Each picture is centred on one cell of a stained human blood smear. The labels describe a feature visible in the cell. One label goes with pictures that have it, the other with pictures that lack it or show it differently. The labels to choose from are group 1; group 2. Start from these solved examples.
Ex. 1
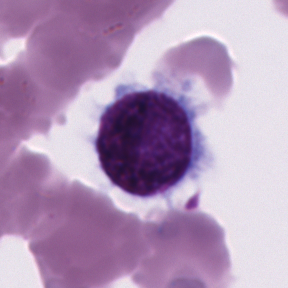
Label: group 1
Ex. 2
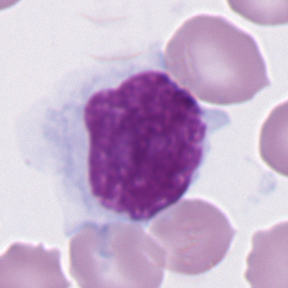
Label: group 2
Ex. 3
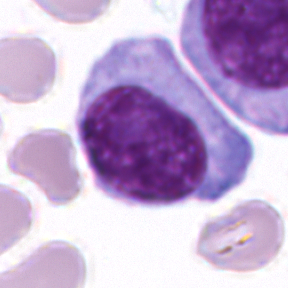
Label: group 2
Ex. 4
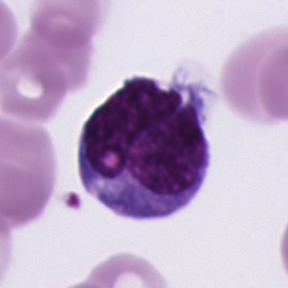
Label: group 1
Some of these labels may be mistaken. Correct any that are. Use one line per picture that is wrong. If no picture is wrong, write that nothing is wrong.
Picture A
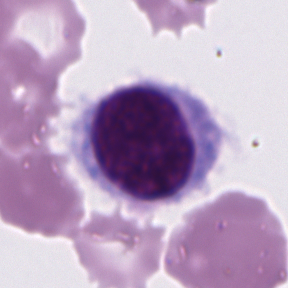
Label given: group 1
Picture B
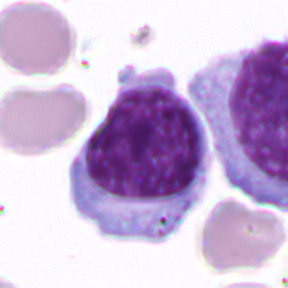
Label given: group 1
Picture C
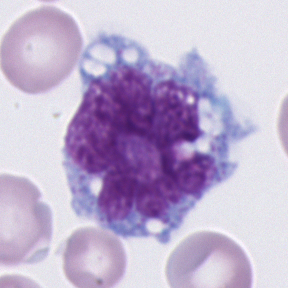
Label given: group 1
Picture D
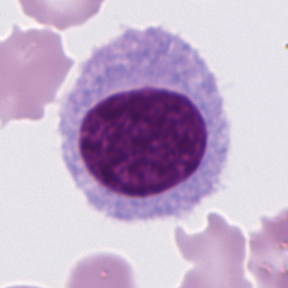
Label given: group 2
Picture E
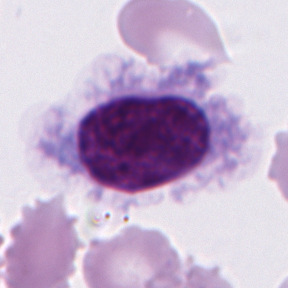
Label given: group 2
B should be group 2, not group 1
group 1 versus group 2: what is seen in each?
group 1: scant cytoplasm; group 2: abundant cytoplasm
